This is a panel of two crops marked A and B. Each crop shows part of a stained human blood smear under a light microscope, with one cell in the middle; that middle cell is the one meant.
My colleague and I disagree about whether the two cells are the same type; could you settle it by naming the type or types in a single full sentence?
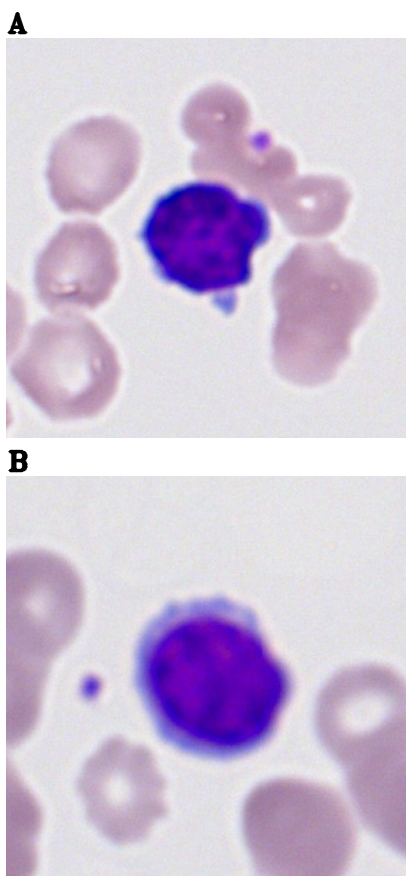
Yes, in both crops the centred cells are lymphocytes.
